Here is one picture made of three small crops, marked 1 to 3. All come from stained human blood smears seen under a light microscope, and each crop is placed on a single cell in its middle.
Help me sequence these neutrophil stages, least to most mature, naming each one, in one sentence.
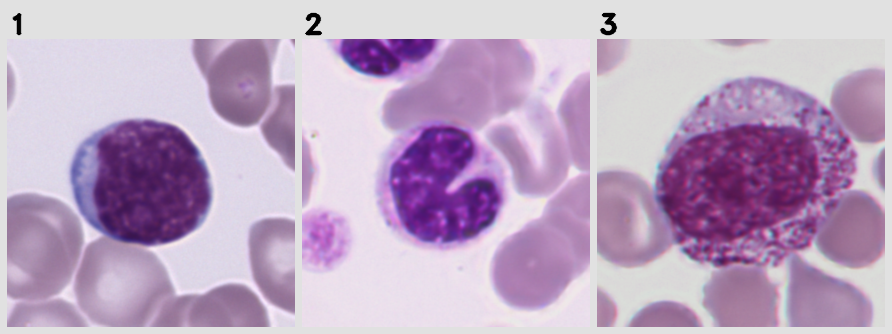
Ordered from least to most mature, the cells run crop 1 (a myeloblast), crop 3 (a myelocyte) and crop 2 (a band neutrophil).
